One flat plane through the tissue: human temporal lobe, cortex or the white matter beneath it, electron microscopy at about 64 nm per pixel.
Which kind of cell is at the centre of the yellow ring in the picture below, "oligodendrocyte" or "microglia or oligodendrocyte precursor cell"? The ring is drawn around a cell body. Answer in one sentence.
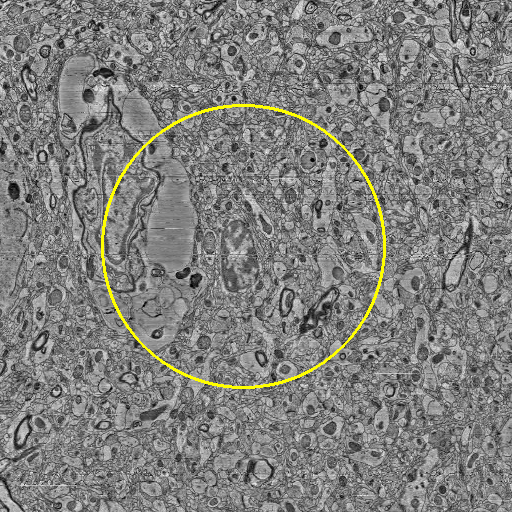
The ring's central cell is a microglial cell or oligodendrocyte precursor cell.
